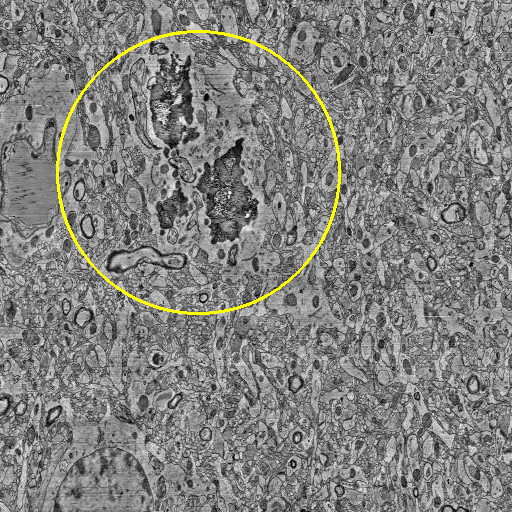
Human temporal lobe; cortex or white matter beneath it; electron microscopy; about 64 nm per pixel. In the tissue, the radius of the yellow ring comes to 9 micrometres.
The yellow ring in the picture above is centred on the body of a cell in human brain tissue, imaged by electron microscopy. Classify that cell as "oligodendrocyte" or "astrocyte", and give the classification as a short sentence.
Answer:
The cell in the middle of the ring is an astrocyte.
